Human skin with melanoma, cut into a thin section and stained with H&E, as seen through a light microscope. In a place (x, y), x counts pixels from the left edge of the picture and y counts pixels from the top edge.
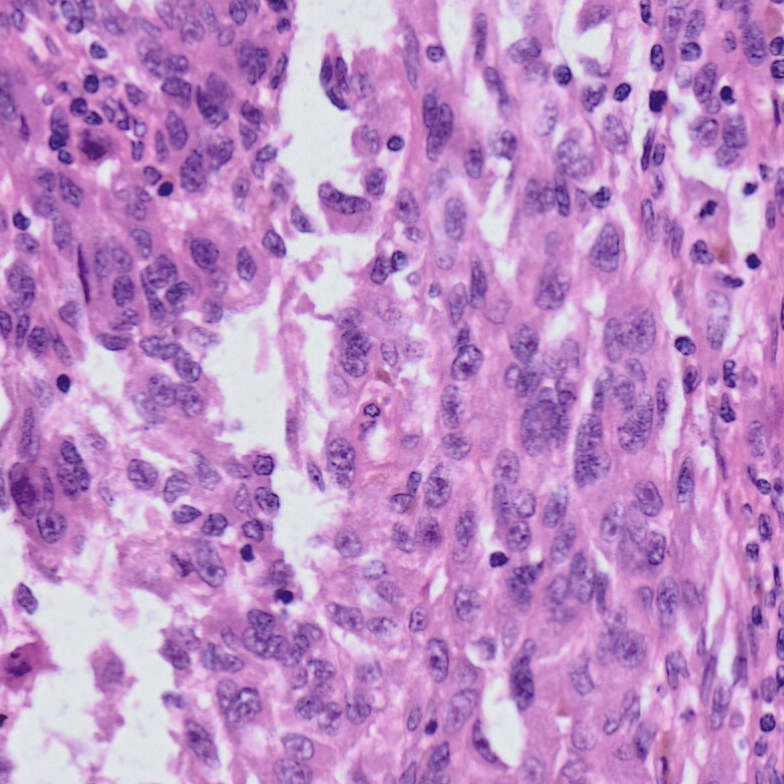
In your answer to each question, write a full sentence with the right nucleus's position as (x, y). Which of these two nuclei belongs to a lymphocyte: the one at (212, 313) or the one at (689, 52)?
At (689, 52) lies the nucleus that belongs to a lymphocyte.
